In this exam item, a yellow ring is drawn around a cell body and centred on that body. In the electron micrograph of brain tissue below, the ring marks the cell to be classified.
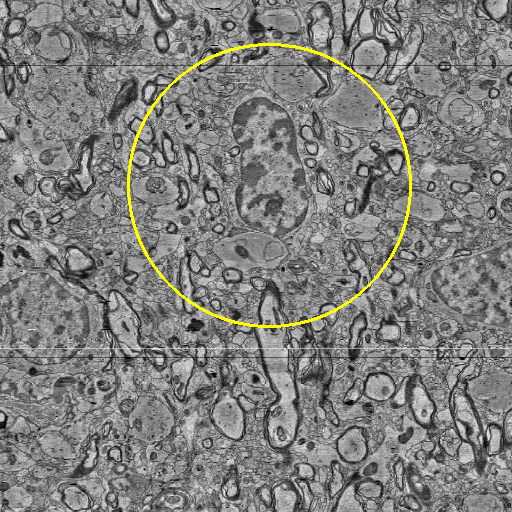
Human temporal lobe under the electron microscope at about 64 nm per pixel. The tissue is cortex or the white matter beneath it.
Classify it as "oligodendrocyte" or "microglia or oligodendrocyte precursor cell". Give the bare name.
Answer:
microglia or oligodendrocyte precursor cell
